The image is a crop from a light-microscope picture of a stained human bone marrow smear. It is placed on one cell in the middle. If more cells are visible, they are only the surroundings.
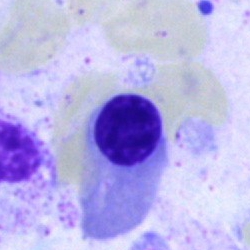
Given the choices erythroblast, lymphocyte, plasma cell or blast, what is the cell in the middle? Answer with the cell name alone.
erythroblast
